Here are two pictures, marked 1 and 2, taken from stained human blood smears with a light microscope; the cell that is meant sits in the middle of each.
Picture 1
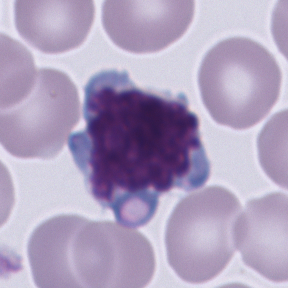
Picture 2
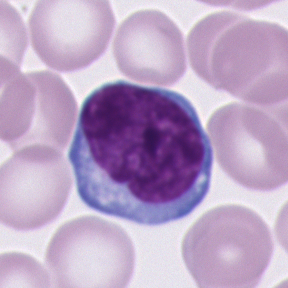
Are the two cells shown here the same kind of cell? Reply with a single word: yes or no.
yes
